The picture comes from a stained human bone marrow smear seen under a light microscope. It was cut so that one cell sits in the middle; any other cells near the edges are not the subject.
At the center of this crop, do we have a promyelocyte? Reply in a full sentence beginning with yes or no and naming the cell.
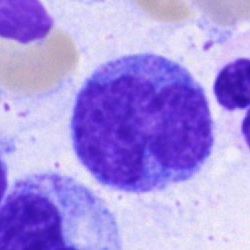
No, what occupies the middle of the crop is a monocyte and not a promyelocyte.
